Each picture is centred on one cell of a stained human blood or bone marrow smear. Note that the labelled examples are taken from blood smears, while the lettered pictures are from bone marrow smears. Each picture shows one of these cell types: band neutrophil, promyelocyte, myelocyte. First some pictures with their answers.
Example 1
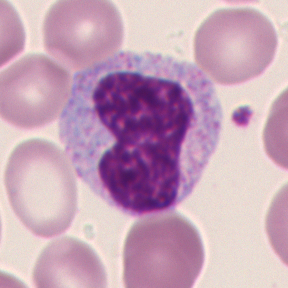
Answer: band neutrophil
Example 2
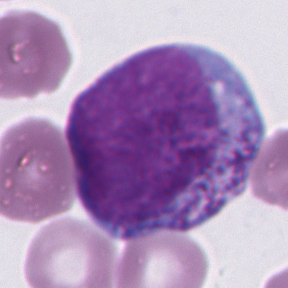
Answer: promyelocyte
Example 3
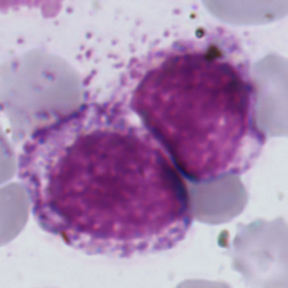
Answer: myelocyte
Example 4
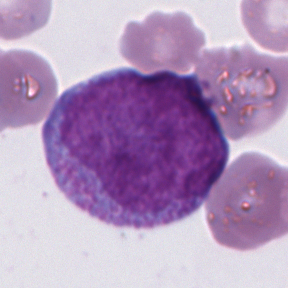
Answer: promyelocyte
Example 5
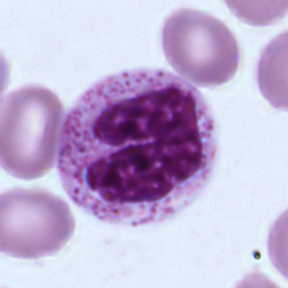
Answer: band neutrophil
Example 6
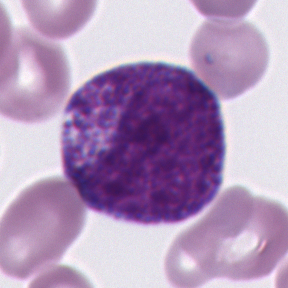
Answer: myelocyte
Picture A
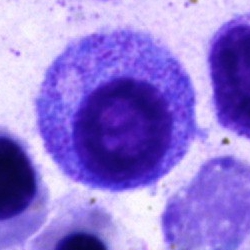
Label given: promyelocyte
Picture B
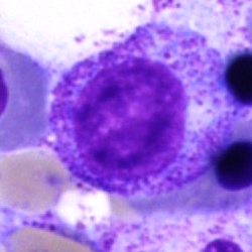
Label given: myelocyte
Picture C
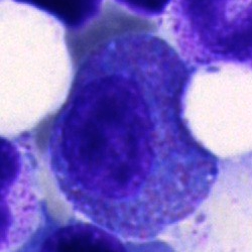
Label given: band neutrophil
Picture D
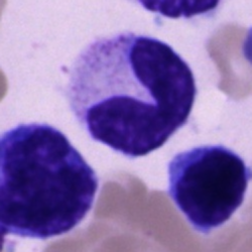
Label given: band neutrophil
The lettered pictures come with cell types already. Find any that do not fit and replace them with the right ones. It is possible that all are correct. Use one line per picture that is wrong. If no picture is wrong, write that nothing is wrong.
C should be promyelocyte, not band neutrophil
